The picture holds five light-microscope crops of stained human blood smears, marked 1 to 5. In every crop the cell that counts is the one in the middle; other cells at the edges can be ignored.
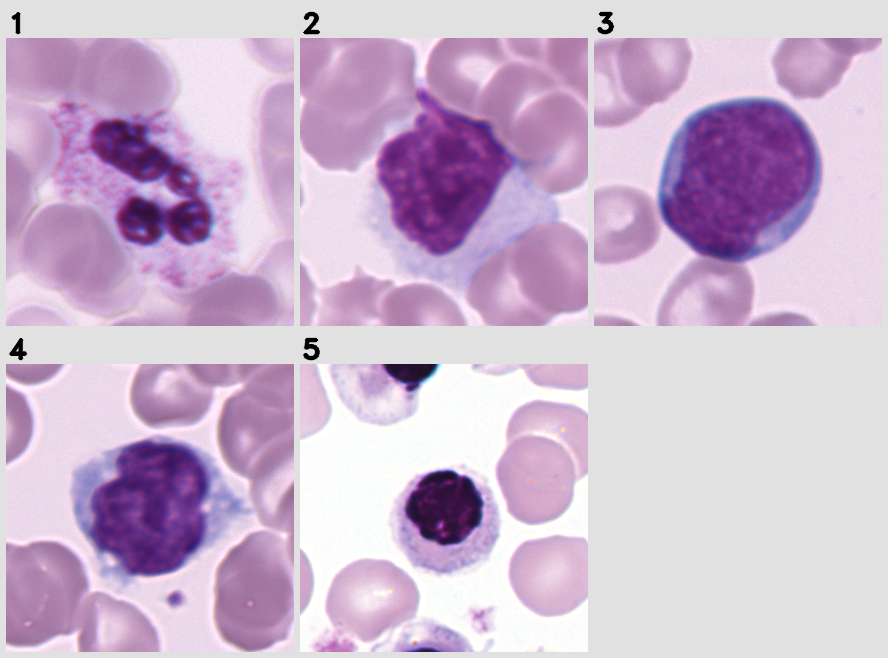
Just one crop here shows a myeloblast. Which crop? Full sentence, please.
That would be crop 3; it shows a myeloblast.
